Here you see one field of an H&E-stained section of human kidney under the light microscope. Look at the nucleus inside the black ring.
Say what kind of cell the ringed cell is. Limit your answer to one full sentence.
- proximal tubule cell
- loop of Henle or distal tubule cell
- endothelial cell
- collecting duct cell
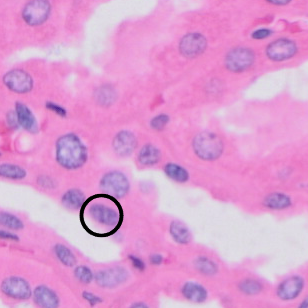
As for its identity, the ringed cell is a collecting duct cell.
